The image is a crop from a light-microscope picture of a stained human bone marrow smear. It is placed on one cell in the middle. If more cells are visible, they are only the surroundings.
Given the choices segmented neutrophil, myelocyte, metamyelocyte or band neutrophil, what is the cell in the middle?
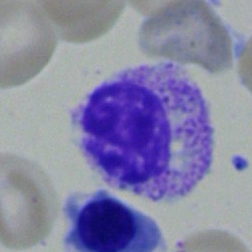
myelocyte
